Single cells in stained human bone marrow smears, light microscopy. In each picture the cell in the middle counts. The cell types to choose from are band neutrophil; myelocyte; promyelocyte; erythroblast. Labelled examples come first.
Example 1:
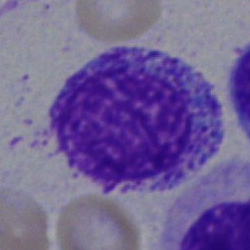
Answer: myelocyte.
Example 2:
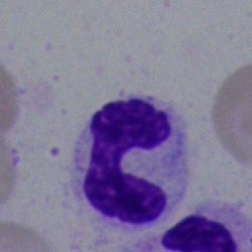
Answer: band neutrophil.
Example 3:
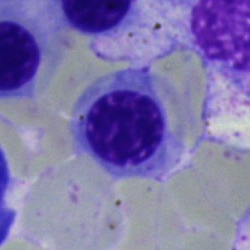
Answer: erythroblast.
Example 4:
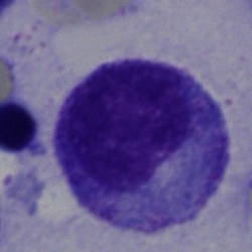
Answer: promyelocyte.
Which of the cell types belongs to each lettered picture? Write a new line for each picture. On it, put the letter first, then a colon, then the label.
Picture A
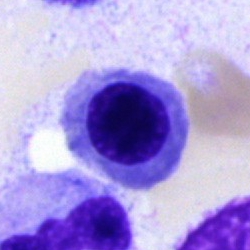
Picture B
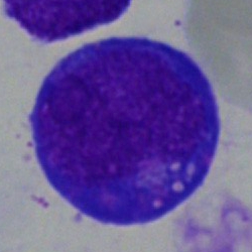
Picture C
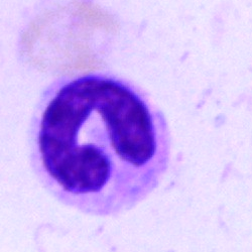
A: erythroblast.
B: promyelocyte.
C: band neutrophil.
